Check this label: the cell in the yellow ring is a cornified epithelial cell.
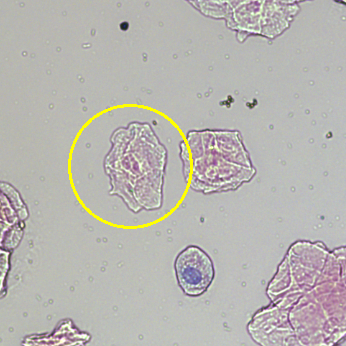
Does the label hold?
The label holds; the cell is a cornified epithelial cell.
